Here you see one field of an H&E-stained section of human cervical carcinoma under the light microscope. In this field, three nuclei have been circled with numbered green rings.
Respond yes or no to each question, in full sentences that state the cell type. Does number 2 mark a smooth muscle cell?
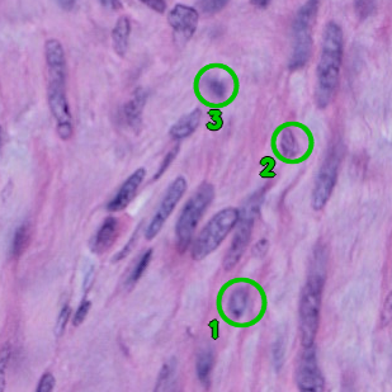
Yes, it is a smooth muscle cell that number 2 identifies.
